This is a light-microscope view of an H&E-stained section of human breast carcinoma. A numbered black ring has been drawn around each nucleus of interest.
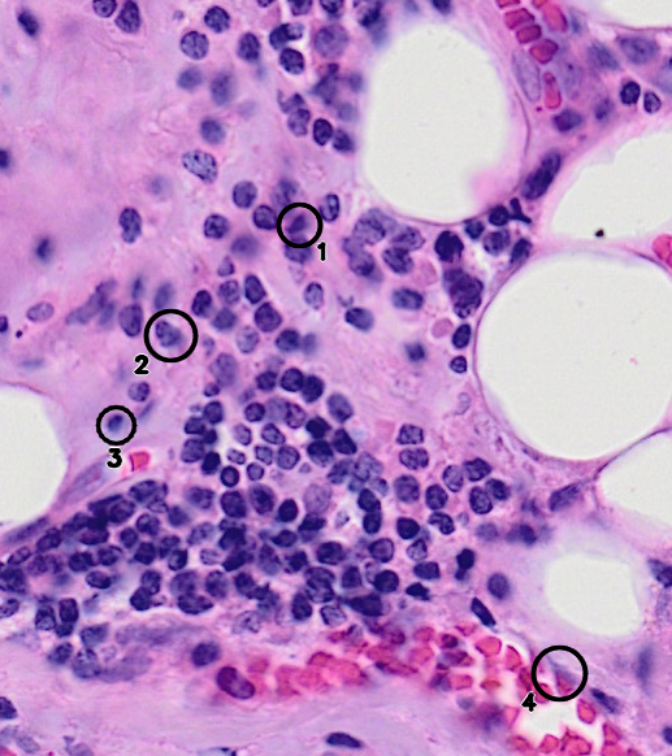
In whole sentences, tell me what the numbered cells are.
Cell 1 is a lymphocyte, cell 2 is a lymphocyte, cell 3 is a lymphocyte and cell 4 is an endothelial cell.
